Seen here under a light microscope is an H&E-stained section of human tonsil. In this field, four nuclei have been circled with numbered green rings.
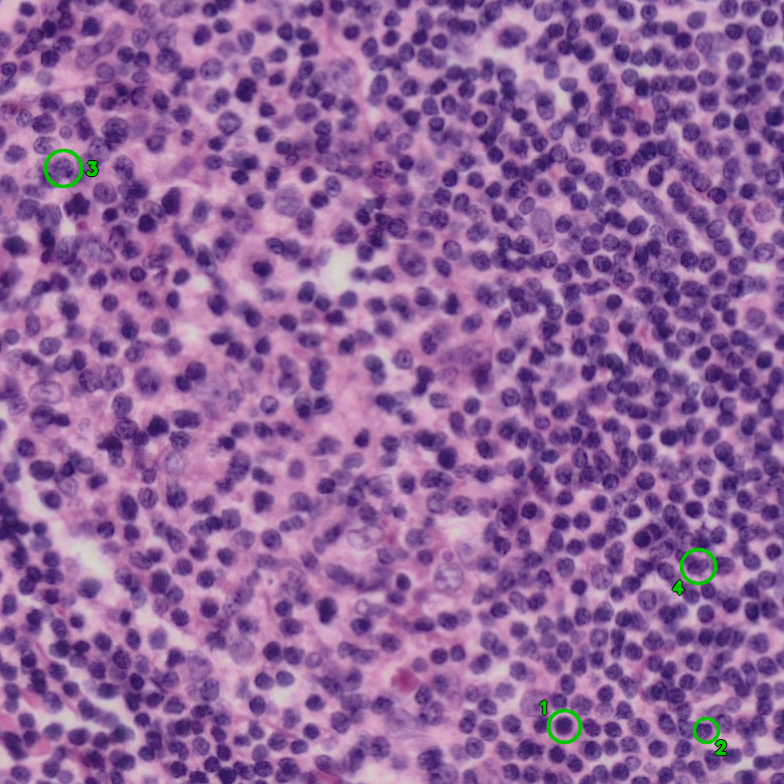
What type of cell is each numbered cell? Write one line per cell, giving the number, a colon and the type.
1: small lymphocyte
2: small lymphocyte
3: proliferating B cell
4: small lymphocyte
